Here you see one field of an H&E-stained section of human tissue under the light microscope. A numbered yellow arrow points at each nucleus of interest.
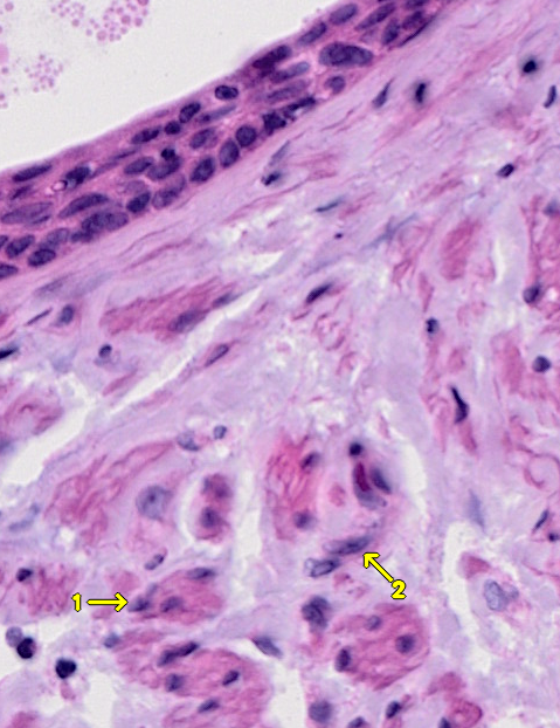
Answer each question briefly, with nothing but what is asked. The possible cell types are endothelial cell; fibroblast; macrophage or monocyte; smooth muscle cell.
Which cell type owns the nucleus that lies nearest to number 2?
fibroblast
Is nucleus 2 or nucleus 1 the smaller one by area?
1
